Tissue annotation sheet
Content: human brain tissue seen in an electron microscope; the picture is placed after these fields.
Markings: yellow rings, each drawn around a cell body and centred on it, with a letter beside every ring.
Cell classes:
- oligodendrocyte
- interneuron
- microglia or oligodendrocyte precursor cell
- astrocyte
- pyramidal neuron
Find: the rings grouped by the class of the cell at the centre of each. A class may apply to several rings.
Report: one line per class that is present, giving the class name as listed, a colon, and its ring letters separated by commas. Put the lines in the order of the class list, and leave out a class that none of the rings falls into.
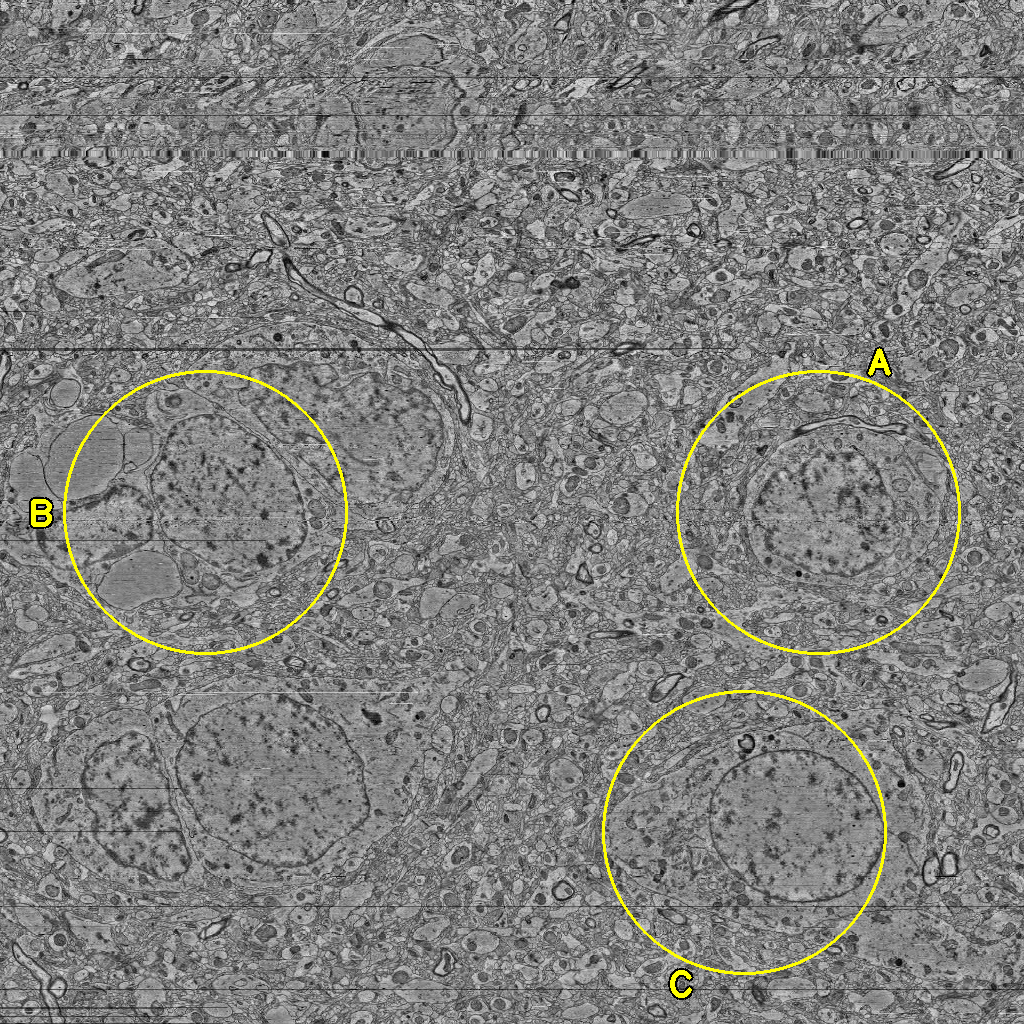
interneuron: A
astrocyte: B
pyramidal neuron: C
